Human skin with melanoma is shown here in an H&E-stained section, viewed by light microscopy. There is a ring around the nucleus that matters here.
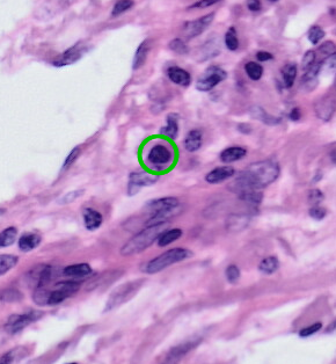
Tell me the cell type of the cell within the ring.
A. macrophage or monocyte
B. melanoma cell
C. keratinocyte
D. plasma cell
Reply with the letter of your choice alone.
D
